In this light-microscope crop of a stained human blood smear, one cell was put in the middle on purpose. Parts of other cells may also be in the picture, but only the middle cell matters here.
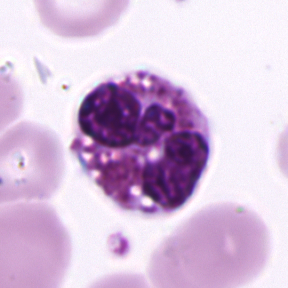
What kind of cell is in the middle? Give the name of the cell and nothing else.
eosinophil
